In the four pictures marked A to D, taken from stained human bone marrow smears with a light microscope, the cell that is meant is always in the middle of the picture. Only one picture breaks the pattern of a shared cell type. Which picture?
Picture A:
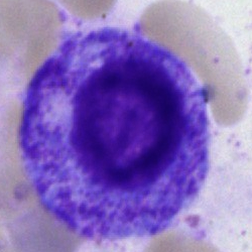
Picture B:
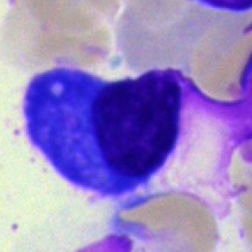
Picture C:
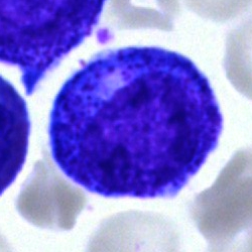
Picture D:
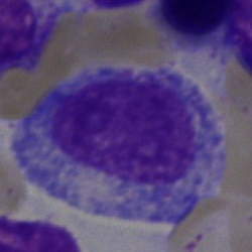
B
